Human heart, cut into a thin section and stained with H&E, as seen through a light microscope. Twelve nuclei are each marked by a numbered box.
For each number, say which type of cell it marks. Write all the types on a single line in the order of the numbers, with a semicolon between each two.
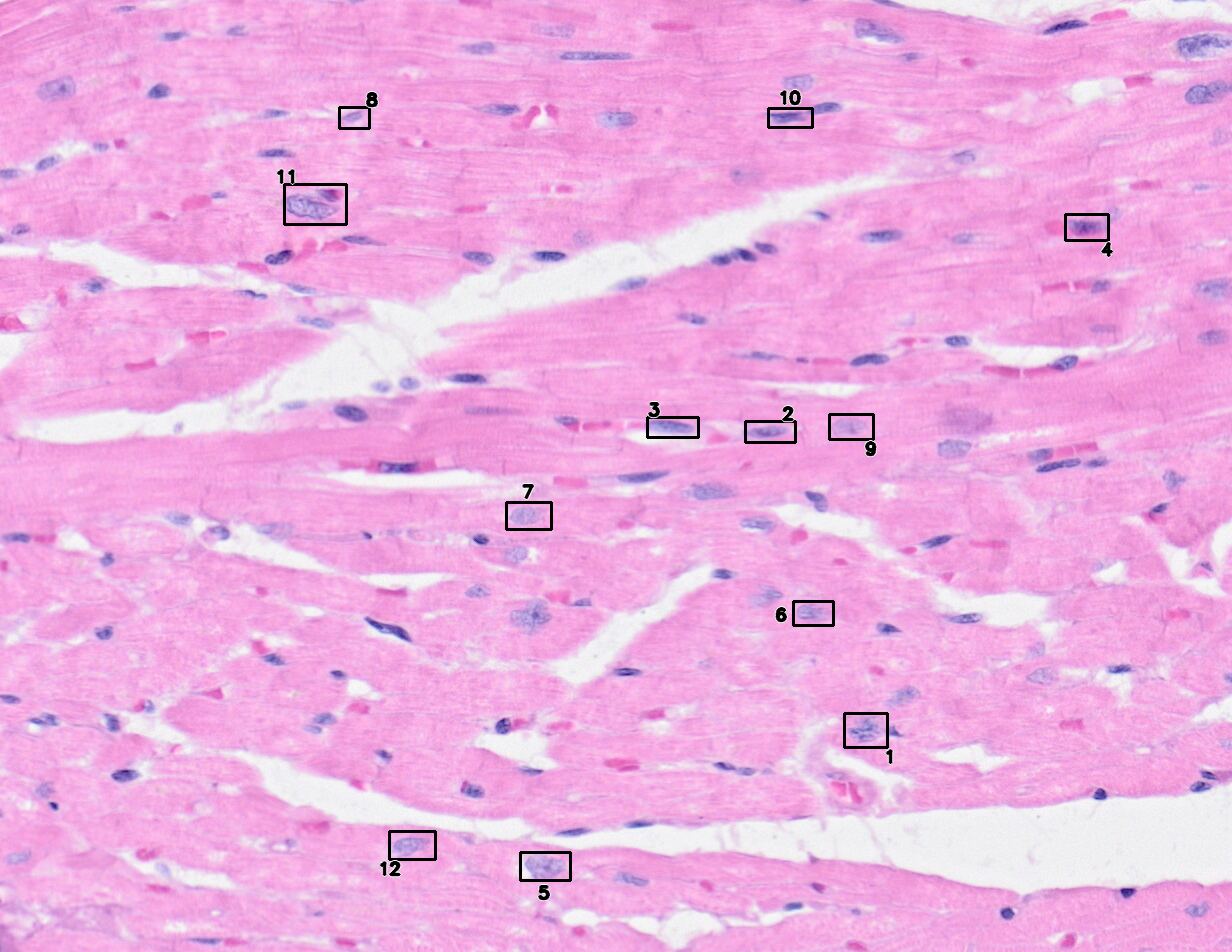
cardiomyocyte; fibroblast; endothelial cell; endothelial cell; cardiomyocyte; cardiomyocyte; cardiomyocyte; endothelial cell; cardiomyocyte; endothelial cell; cardiomyocyte; cardiomyocyte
